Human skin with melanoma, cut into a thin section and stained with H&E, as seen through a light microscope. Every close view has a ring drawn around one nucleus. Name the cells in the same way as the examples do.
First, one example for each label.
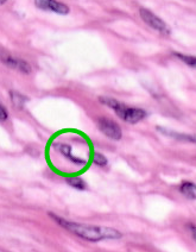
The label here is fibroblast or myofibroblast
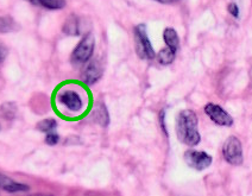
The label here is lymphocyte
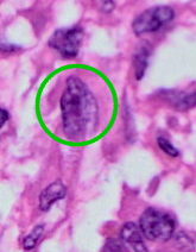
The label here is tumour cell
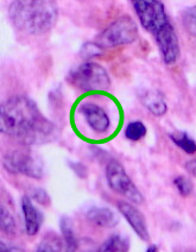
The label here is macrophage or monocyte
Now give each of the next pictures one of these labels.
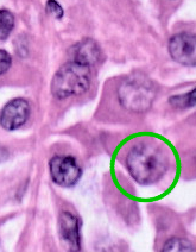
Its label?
tumour cell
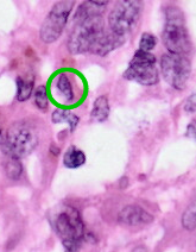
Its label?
macrophage or monocyte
